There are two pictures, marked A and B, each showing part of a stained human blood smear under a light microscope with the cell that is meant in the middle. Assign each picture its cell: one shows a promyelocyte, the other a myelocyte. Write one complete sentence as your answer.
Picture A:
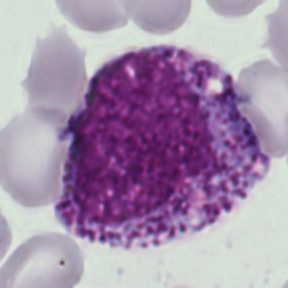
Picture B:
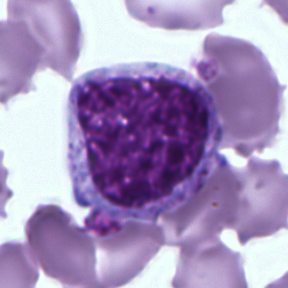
Picture A shows a promyelocyte and picture B shows a myelocyte.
